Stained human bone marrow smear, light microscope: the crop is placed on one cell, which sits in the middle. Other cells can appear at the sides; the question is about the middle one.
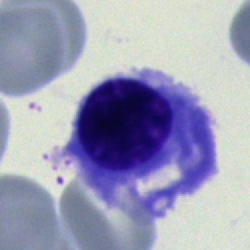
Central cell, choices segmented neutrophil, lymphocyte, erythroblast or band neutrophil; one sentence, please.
The cell occupying the middle of the crop is an erythroblast.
